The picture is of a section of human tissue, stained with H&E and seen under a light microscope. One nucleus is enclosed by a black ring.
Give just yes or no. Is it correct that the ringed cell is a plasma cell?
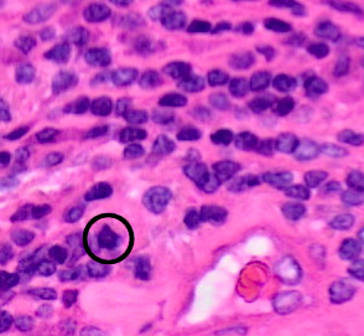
no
